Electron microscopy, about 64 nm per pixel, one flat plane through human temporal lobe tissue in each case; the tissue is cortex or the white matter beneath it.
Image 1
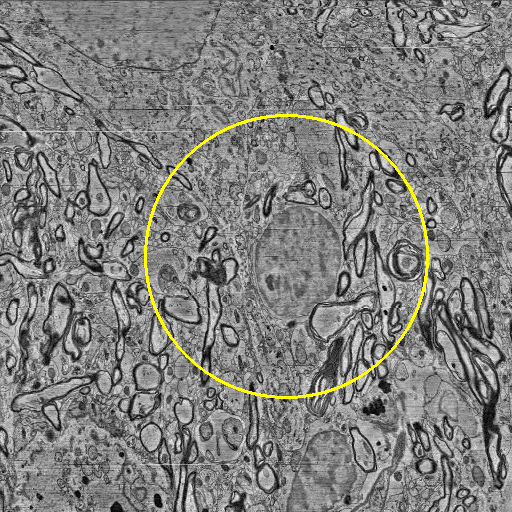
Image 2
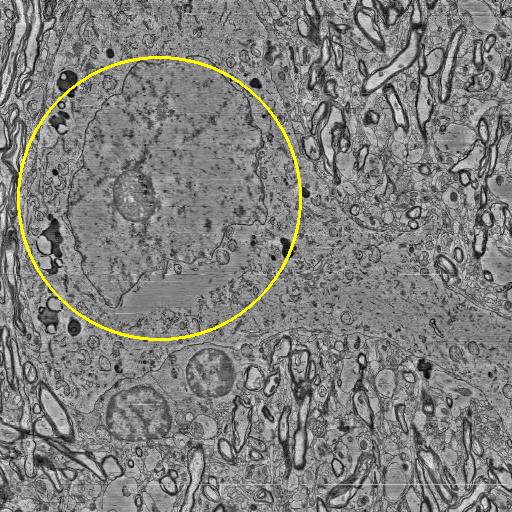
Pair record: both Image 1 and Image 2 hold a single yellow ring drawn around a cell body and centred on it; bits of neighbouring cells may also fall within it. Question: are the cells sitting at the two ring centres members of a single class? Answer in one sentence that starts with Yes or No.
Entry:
No, the ring-centre cells in Image 1 and Image 2 come from two classes.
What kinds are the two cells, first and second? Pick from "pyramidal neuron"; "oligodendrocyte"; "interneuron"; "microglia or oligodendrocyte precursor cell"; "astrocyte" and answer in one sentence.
The second picture holds a pyramidal neuron in its ring, and the first holds an oligodendrocyte.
